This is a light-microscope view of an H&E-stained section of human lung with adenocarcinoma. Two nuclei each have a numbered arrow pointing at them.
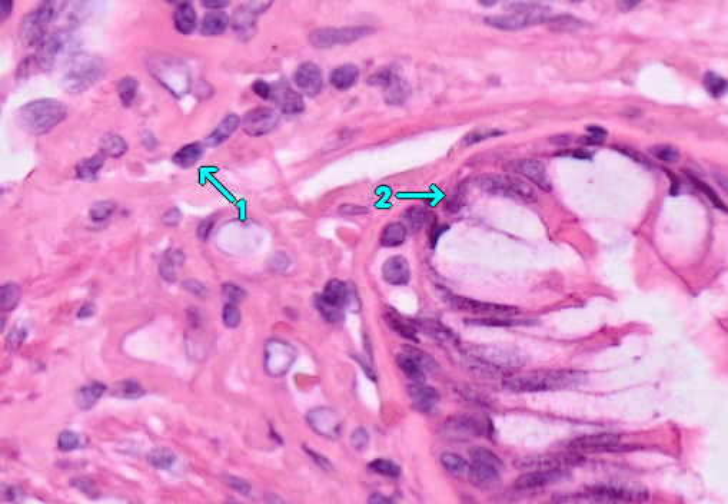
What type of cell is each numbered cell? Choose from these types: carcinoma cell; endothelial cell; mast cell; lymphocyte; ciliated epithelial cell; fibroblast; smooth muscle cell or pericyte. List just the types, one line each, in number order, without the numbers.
lymphocyte
ciliated epithelial cell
